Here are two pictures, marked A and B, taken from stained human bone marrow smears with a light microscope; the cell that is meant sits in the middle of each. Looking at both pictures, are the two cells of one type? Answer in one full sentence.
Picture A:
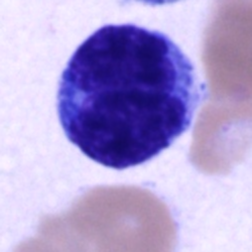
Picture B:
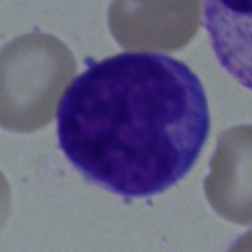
Yes, both are blasts.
